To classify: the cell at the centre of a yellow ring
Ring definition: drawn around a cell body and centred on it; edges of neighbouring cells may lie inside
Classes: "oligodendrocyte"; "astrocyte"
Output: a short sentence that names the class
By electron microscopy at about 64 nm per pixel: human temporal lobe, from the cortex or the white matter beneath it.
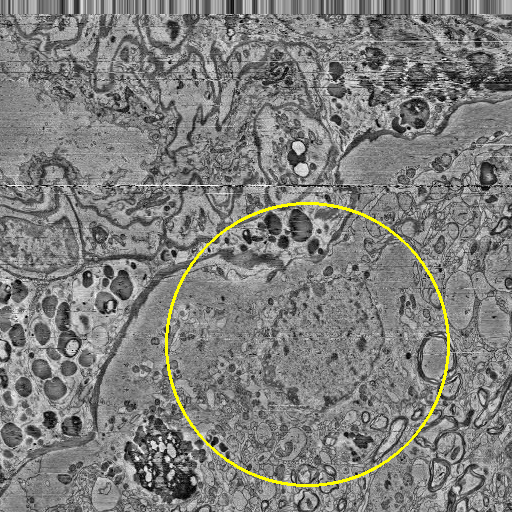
The ringed cell is an astrocyte.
